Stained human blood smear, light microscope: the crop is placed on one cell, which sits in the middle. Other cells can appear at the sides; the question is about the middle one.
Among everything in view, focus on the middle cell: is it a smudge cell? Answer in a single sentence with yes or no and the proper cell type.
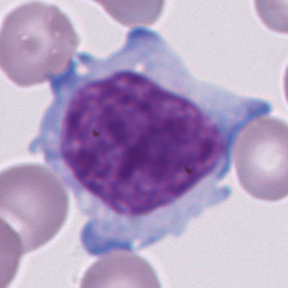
No, the central cell is counted as a myeloblast instead of a smudge cell.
